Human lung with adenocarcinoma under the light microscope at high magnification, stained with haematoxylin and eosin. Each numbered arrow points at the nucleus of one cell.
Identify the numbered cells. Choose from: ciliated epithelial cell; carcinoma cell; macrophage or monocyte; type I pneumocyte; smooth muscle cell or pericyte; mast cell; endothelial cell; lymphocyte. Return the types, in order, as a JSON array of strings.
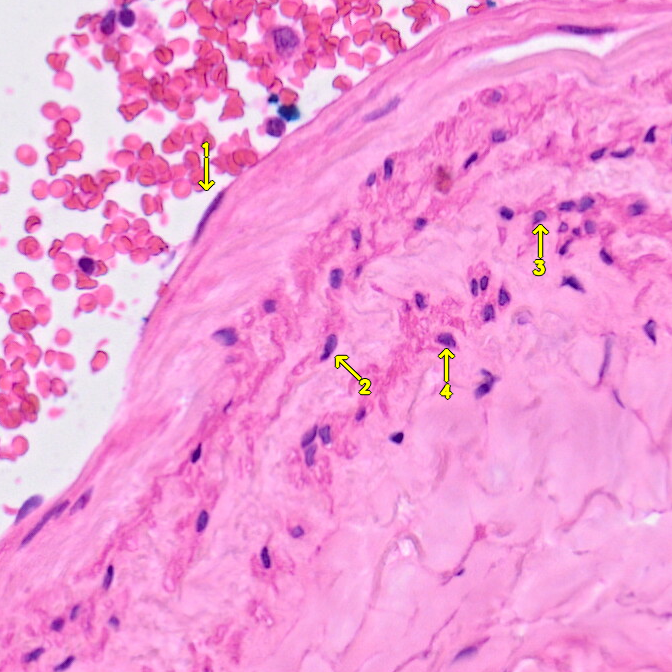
["endothelial cell", "smooth muscle cell or pericyte", "smooth muscle cell or pericyte", "smooth muscle cell or pericyte"]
